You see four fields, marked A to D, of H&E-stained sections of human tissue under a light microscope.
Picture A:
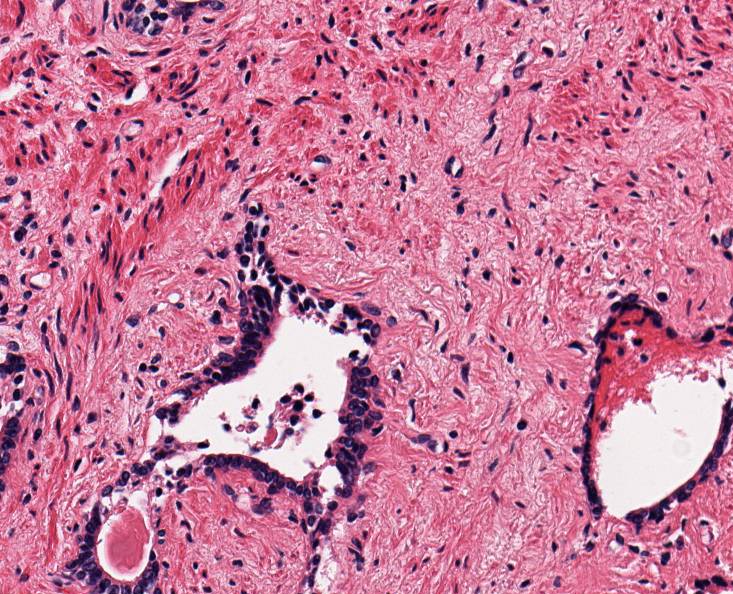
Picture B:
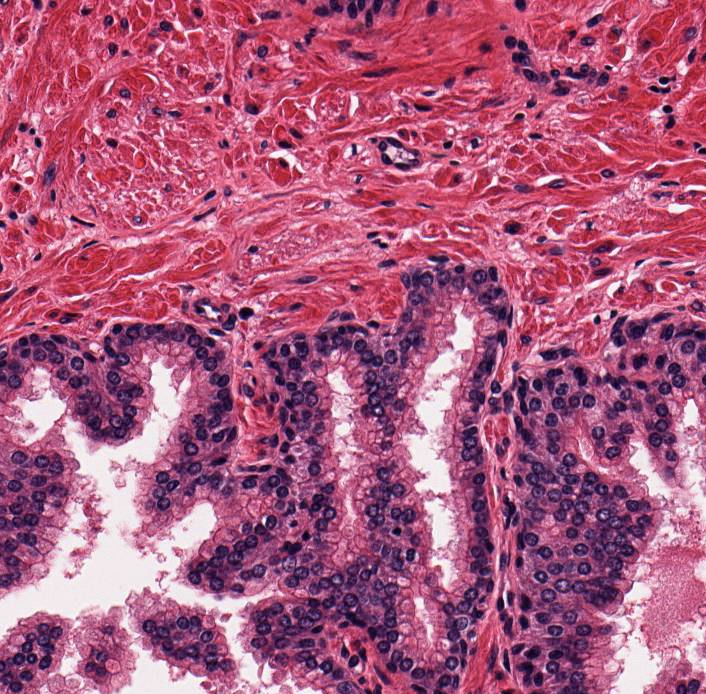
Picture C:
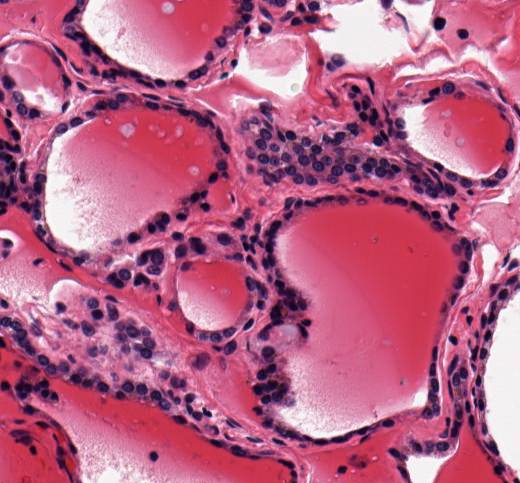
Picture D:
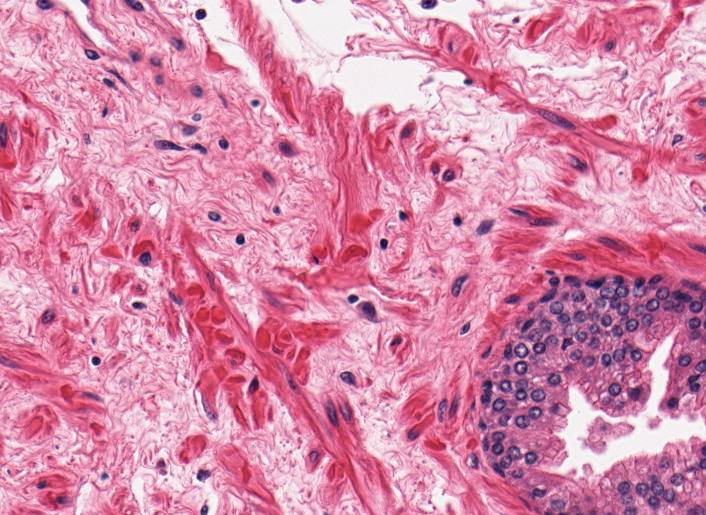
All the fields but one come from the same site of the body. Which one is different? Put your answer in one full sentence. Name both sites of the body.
Unlike the rest, which come from the prostate, picture C comes from the thyroid.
